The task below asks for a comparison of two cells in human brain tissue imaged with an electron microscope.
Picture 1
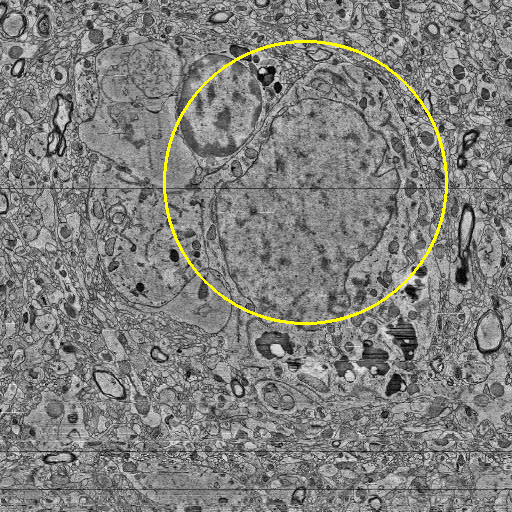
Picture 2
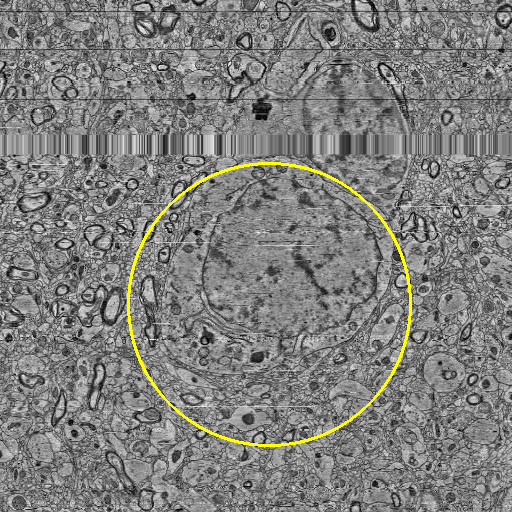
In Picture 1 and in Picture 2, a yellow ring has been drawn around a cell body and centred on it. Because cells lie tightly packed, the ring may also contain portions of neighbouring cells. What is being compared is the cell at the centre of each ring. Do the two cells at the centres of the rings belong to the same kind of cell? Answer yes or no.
yes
